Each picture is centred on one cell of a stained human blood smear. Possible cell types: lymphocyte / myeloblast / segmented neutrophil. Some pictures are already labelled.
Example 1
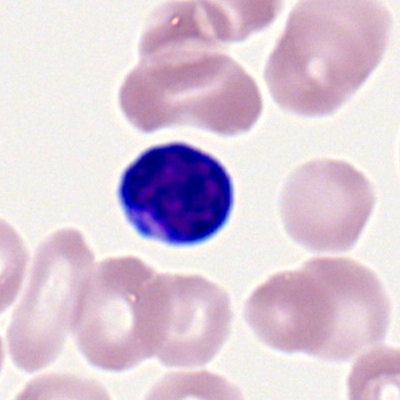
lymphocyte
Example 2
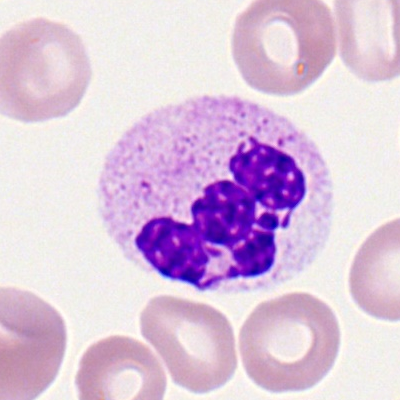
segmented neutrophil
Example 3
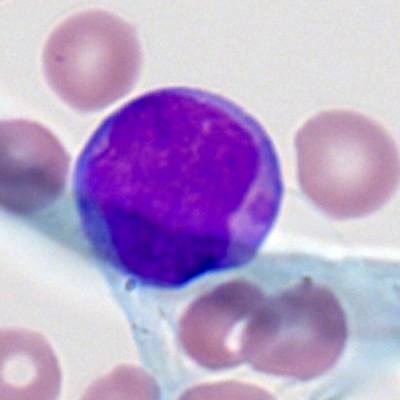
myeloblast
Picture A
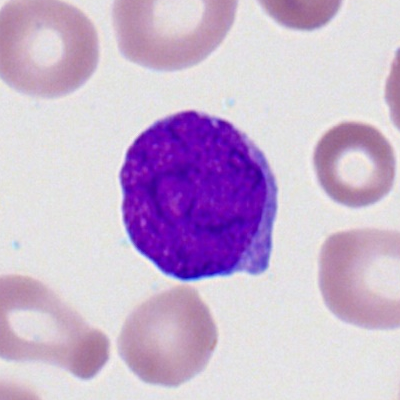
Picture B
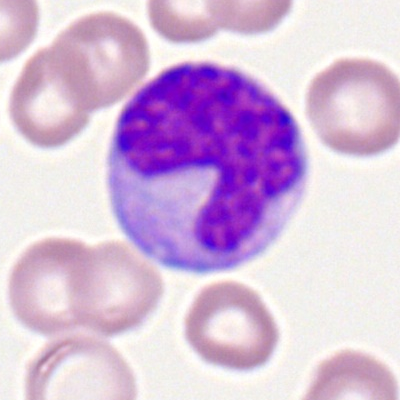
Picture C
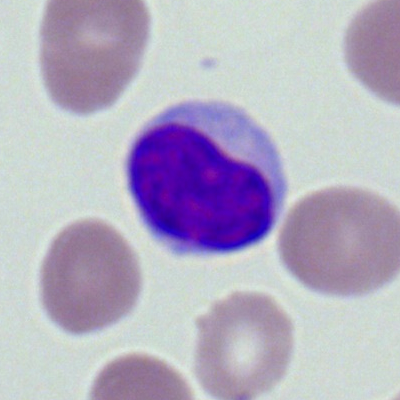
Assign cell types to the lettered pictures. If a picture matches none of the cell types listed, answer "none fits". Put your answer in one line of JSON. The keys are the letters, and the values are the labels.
{"A": "myeloblast", "B": "none fits", "C": "lymphocyte"}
